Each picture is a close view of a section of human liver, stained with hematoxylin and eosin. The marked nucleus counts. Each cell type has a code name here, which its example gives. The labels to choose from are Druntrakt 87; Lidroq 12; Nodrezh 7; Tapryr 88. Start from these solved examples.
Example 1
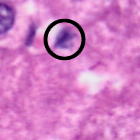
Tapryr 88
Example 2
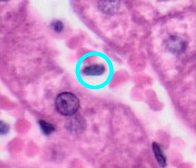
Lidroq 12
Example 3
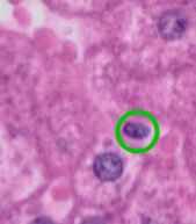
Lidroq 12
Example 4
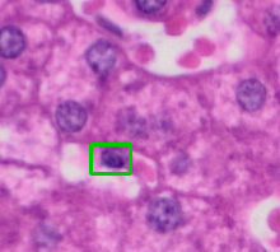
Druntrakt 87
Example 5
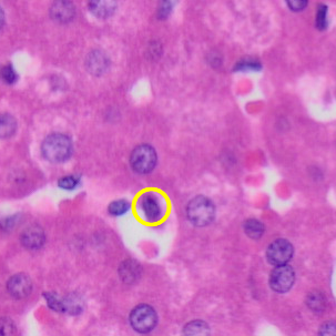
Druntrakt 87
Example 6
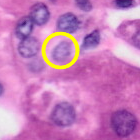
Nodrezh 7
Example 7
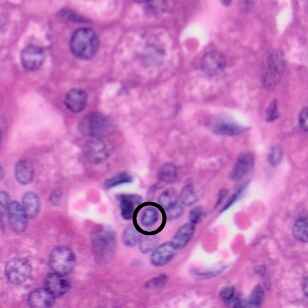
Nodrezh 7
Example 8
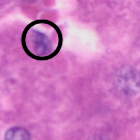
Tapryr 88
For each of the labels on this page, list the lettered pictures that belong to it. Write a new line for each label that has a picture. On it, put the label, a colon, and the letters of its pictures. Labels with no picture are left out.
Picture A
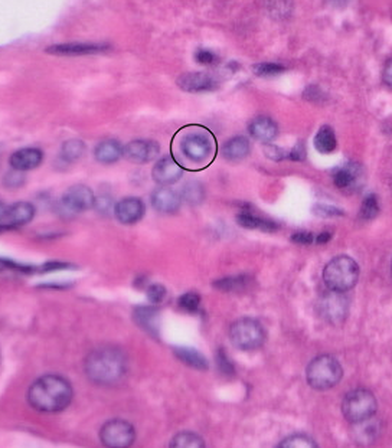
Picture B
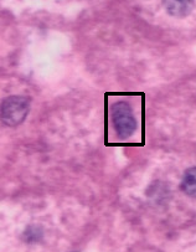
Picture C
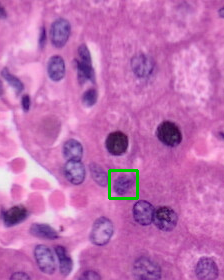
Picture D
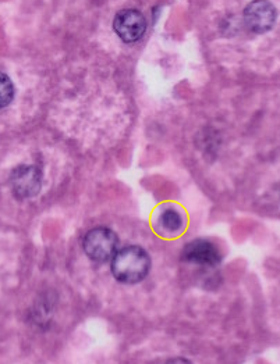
Druntrakt 87: B
Lidroq 12: D
Nodrezh 7: A, C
